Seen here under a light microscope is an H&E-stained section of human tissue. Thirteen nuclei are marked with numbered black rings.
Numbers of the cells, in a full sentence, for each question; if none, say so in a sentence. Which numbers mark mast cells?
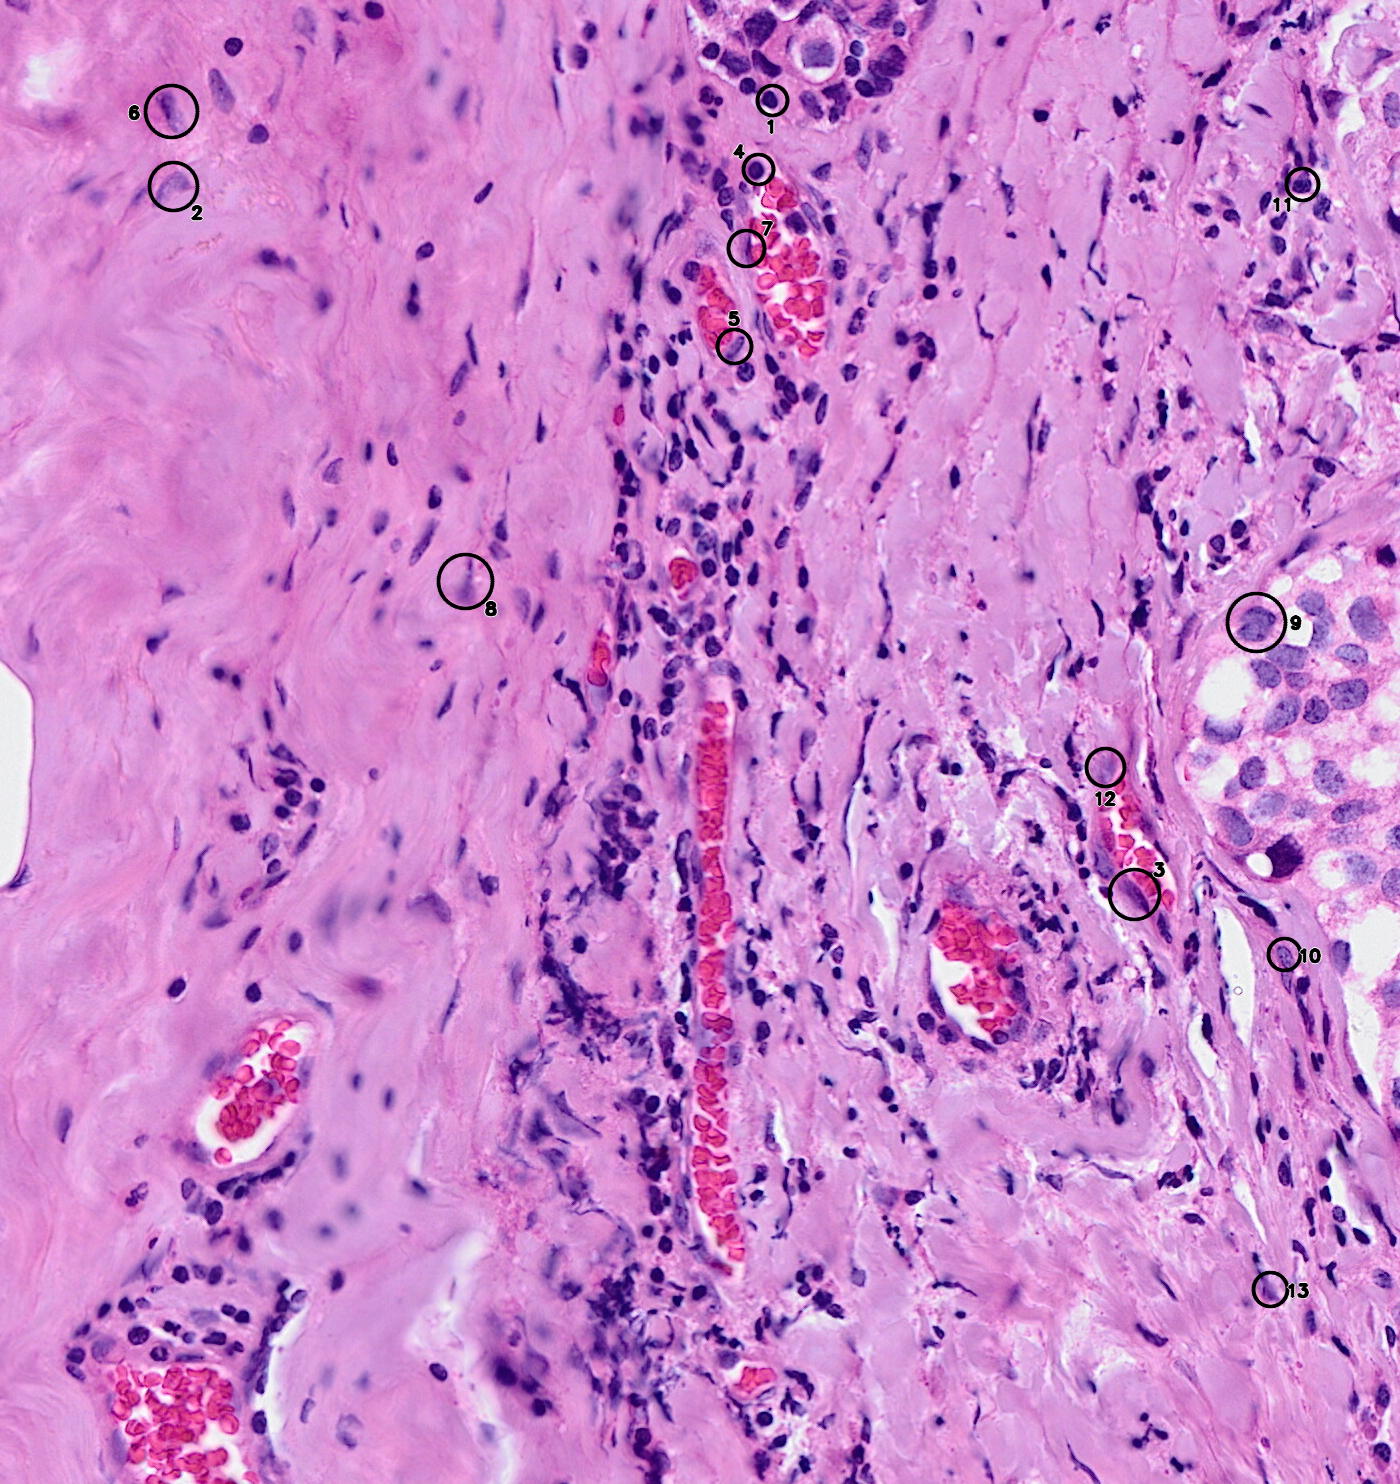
Checking each numbered cell, none of them turn out to be mast cells.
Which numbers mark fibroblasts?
The cells marked with the numbers 2, 6, 8 and 13 are fibroblasts.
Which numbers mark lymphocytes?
The cells numbered 1, 4 and 11 are of one kind: lymphocytes.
